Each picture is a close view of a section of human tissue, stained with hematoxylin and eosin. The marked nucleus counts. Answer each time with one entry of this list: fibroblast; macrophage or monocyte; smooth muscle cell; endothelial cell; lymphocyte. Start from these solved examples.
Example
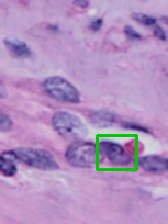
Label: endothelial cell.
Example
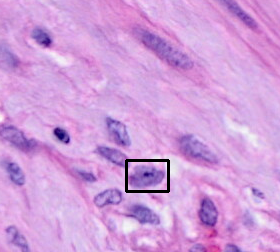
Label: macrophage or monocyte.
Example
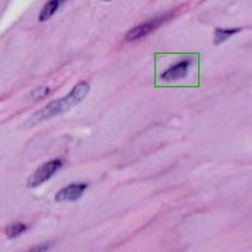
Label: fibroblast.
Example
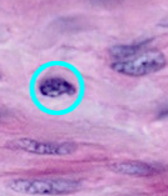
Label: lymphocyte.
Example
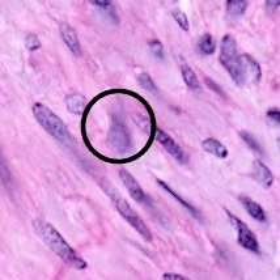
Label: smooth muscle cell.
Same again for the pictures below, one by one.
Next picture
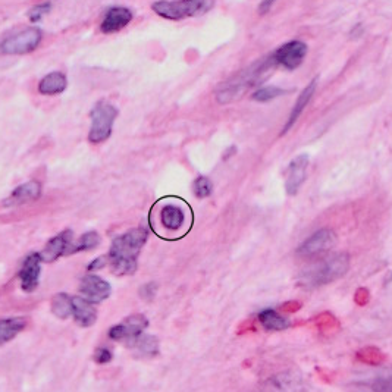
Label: lymphocyte.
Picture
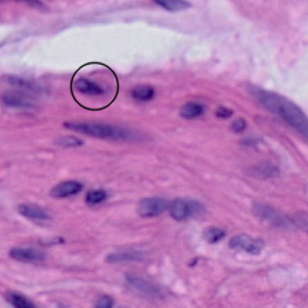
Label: smooth muscle cell.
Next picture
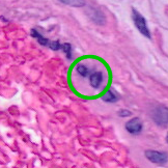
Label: endothelial cell.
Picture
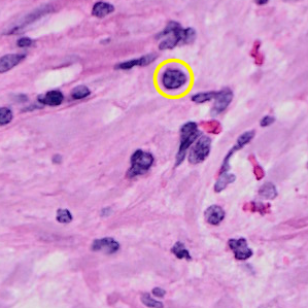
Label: lymphocyte.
